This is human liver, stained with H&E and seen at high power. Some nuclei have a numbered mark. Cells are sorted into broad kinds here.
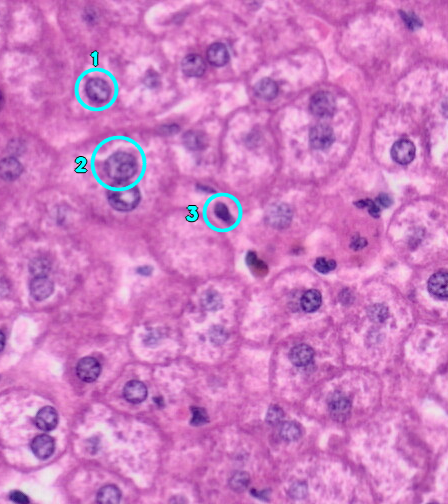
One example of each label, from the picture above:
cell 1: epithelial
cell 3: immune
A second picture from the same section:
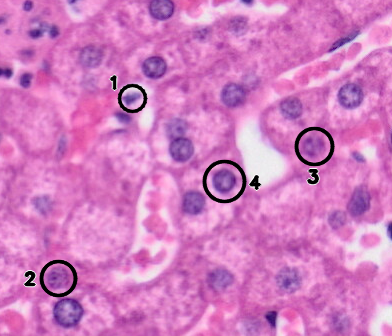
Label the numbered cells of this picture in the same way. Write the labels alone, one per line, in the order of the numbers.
immune
epithelial
epithelial
epithelial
